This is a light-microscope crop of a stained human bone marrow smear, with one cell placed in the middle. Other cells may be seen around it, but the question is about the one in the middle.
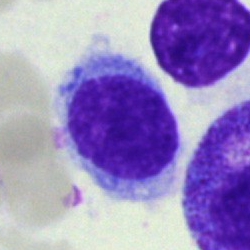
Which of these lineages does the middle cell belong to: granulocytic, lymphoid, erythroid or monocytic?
lymphoid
